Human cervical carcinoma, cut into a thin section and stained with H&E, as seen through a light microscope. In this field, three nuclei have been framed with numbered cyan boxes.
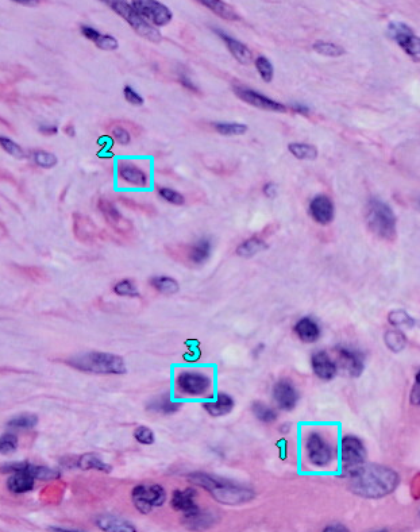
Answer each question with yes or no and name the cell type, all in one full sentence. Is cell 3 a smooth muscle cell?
No, cell 3, which is a lymphocyte, is not a smooth muscle cell.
